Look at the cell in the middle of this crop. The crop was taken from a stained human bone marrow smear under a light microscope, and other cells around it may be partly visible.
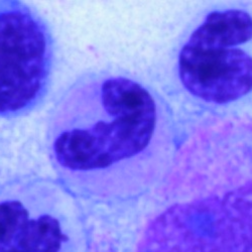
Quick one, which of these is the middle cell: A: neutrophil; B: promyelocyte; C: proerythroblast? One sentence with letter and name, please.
The middle of the crop holds a neutrophil, which points to option A.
